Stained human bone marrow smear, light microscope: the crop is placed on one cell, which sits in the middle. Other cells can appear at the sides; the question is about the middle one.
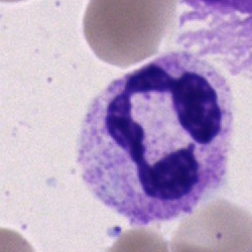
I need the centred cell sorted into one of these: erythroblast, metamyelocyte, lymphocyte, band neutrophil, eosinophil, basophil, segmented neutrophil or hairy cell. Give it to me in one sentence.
Framed in the middle of the crop is a segmented neutrophil.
